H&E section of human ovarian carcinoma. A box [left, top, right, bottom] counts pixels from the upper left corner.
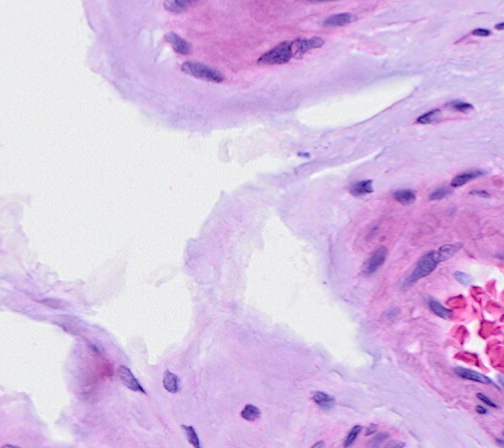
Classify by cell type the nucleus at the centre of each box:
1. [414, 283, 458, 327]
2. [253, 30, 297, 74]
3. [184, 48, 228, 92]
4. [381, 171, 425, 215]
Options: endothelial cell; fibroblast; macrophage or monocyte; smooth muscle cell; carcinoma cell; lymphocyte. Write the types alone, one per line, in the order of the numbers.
endothelial cell
smooth muscle cell
smooth muscle cell
smooth muscle cell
